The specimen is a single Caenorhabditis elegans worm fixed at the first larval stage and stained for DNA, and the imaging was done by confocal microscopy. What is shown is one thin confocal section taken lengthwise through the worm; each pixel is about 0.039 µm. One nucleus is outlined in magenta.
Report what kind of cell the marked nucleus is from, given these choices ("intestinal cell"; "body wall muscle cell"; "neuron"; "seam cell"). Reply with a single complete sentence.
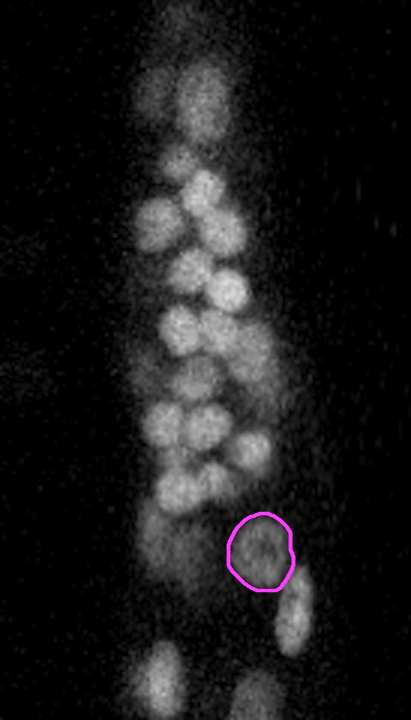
The cell with the marked nucleus is an intestinal cell.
